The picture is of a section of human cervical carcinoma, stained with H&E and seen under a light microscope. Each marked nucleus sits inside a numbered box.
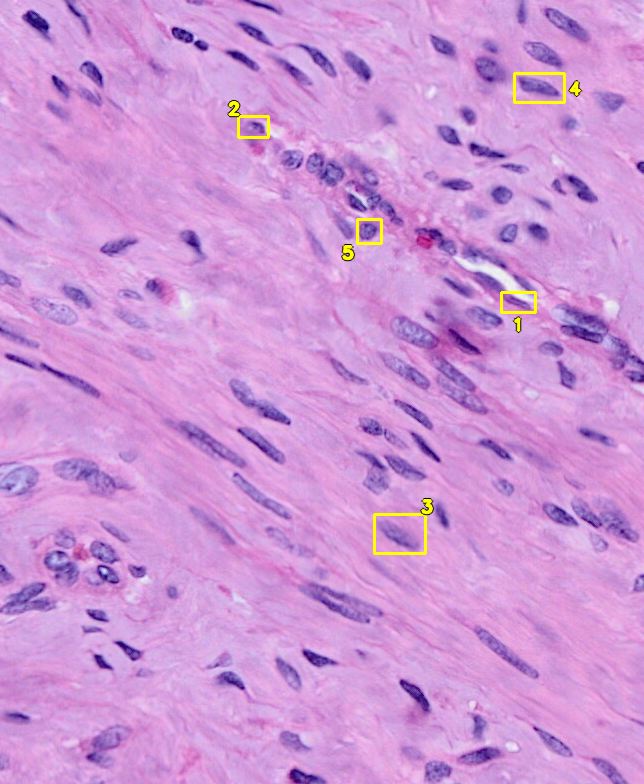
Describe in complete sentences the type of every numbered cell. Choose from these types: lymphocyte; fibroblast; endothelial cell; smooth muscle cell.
Cell 1 is an endothelial cell, cell 2 is an endothelial cell, cell 3 is a fibroblast, cell 4 is a fibroblast and cell 5 is a smooth muscle cell.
